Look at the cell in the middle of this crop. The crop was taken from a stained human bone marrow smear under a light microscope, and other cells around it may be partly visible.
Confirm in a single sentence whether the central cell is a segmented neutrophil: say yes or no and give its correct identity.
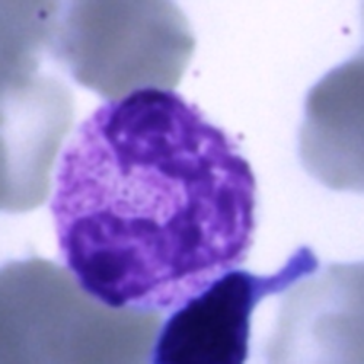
No, the one in the center is not a segmented neutrophil; it is a band neutrophil.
